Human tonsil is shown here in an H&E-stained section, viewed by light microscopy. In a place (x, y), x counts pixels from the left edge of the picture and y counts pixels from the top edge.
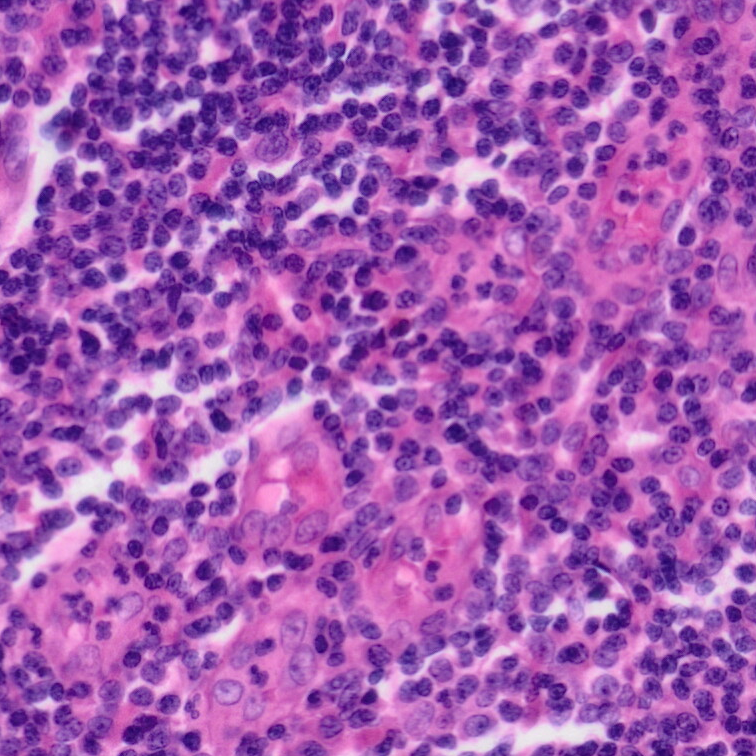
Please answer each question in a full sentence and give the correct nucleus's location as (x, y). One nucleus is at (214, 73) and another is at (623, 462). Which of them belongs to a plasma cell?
The correct choice is the nucleus at (623, 462), which belongs to a plasma cell.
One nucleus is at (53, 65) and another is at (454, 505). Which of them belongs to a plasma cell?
The nucleus that belongs to a plasma cell is located at (53, 65).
